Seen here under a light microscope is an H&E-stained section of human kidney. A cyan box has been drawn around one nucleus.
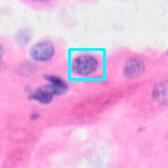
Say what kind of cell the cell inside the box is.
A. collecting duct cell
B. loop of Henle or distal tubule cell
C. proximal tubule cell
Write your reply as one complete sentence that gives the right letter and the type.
Option B wins here: the cell inside the box is a loop of Henle or distal tubule cell.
